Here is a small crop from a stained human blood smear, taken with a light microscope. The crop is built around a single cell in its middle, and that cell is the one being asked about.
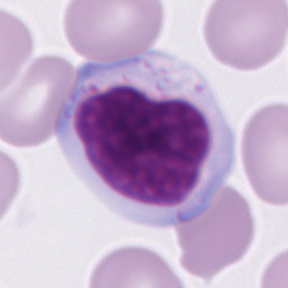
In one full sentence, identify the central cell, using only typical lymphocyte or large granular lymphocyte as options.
In the central position of this crop, the cell is a large granular lymphocyte.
